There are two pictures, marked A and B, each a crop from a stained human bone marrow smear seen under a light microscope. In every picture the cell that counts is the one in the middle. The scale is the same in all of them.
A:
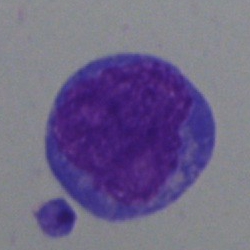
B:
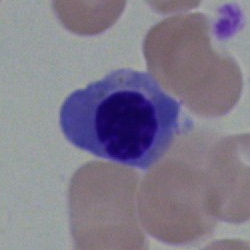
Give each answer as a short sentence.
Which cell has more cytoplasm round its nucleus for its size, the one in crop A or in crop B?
In crop B the nucleus takes up the smaller part of its cell.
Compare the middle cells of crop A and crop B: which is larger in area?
It is the cell in crop A, about 2.5 times as large in area as the cell in crop B.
